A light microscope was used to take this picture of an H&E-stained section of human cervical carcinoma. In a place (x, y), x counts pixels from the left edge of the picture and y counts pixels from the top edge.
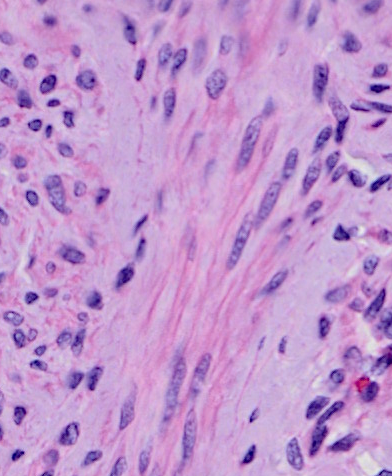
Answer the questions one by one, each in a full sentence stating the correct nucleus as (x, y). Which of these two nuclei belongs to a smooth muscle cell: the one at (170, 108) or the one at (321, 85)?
Among the two nuclei, the one found at (170, 108) belongs to a smooth muscle cell.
